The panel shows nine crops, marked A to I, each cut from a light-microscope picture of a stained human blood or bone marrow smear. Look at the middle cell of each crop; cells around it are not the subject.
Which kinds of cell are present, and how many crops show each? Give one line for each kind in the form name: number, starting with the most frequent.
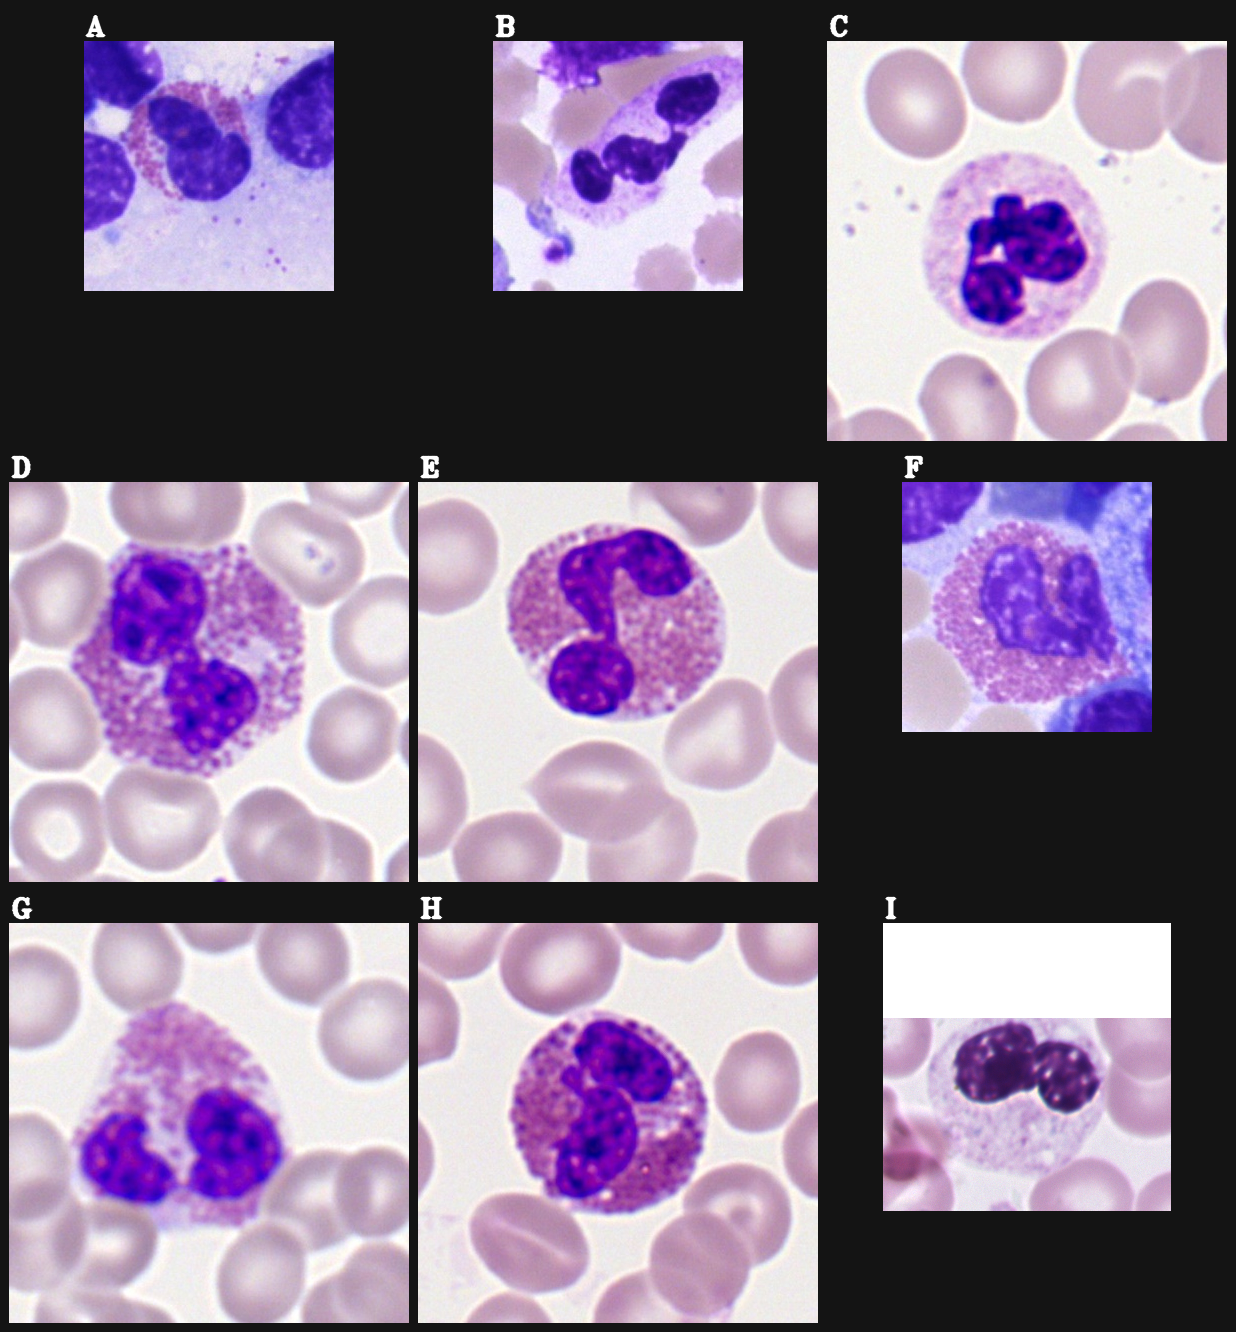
eosinophil: 6
segmented neutrophil: 3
